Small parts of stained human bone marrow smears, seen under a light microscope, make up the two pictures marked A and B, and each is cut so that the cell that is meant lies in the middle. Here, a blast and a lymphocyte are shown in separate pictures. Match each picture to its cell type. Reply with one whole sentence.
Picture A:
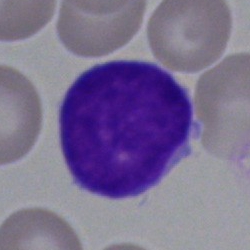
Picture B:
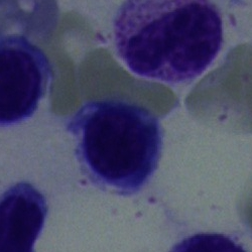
It is picture A that shows a blast, and picture B that shows a lymphocyte.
